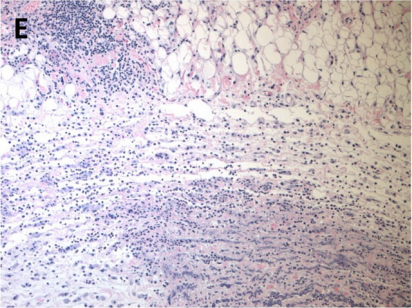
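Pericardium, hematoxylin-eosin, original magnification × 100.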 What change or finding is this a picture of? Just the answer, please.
Inflammatory infiltration.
